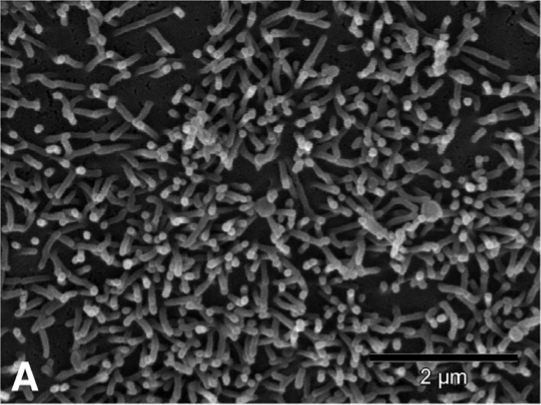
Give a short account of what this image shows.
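This is a surface view of the apical face of a cell, seen from above. The surface is crowded with slender, rod-like projections lying in all directions, many bent or lying flat, some seen end-on as bright dots. Their widths are fairly uniform and several have slightly swollen, rounded tips. Between them the underlying membrane appears dark and smooth. These densely packed projections are microvilli covering the apical surface.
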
